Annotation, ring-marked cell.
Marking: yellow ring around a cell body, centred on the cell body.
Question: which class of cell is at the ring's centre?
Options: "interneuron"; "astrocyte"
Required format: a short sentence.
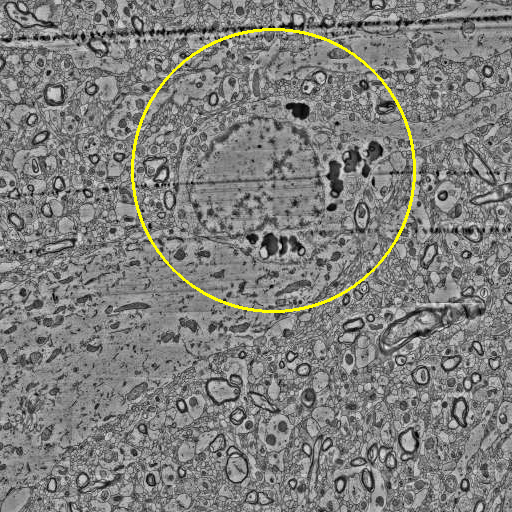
At the ring's centre is an interneuron.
